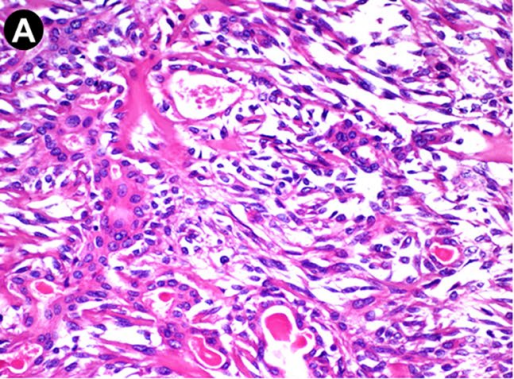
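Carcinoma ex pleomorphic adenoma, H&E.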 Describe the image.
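Tumor of transformed epithelial and myoepithelial cells lying in a loose, pale myxoid stroma. Many cells are spindled or ovoid with oval dark purple nuclei and scant pink cytoplasm, running in loose streams. Scattered small lumina and thin-walled vessels hold pink material and red blood cells. Small clusters of rounder epithelial cells sit among the spindle cells.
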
